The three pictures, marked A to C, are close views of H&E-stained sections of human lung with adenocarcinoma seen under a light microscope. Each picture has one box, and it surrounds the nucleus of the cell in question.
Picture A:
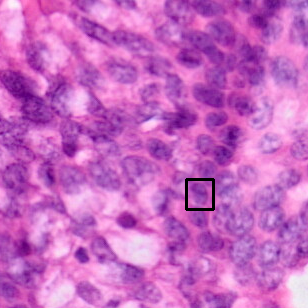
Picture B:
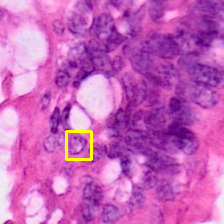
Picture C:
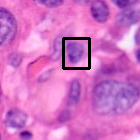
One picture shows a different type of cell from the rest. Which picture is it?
C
